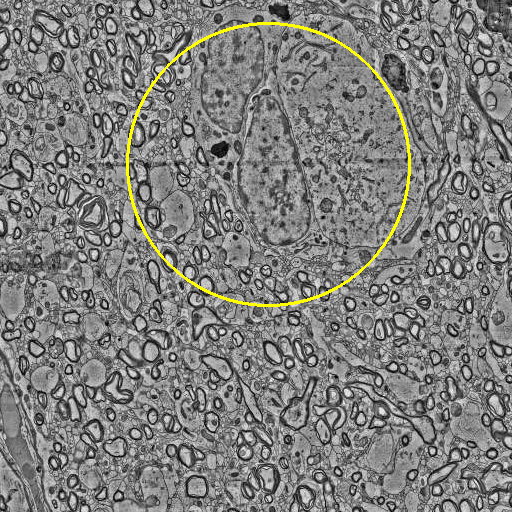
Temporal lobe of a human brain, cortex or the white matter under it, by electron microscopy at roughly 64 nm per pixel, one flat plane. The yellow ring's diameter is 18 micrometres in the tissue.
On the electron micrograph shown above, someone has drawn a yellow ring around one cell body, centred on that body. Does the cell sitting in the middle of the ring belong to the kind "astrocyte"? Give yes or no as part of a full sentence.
No, the cell located in the middle of the ring in the micrograph is of a different kind.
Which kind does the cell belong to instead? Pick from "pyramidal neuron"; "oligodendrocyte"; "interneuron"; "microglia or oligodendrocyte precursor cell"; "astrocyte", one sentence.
It is a microglial cell or oligodendrocyte precursor cell that the ring is centred on.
